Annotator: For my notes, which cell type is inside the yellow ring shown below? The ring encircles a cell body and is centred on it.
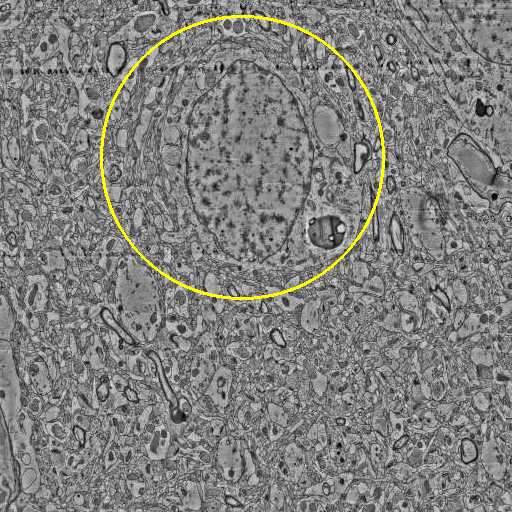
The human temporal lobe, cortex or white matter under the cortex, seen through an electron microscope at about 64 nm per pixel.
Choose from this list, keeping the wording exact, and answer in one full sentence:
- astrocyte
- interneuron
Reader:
At the centre of the yellow ring there is an interneuron, as shown in the picture.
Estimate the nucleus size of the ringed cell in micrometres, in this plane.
Roughly 13 by 8 micrometres; in this plane, clearly longer than it is wide.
